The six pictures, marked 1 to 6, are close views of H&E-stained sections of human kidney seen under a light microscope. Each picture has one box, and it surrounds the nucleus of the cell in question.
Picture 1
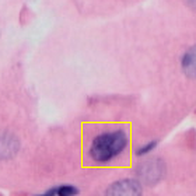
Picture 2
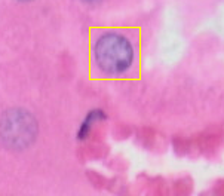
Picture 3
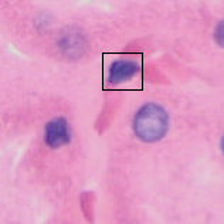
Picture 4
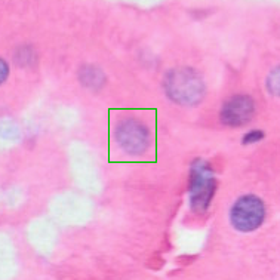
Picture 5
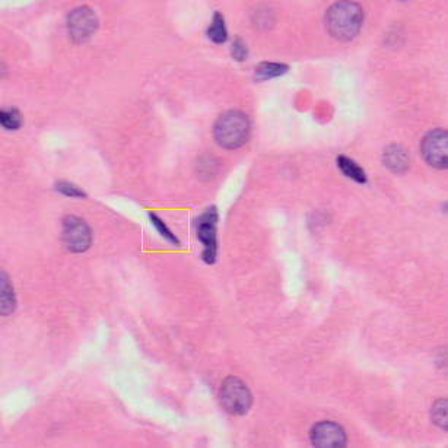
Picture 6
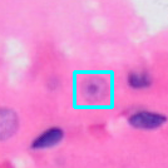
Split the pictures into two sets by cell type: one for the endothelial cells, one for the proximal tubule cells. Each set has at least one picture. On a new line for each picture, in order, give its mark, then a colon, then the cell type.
1: proximal tubule cell
2: proximal tubule cell
3: endothelial cell
4: proximal tubule cell
5: endothelial cell
6: proximal tubule cell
